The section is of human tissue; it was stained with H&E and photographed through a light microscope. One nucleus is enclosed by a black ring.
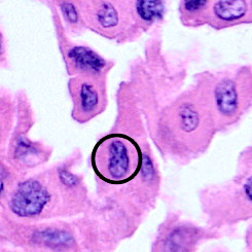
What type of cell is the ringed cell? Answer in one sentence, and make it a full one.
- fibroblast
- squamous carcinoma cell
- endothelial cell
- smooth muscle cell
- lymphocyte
In short, the ringed cell on this section is a squamous carcinoma cell.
